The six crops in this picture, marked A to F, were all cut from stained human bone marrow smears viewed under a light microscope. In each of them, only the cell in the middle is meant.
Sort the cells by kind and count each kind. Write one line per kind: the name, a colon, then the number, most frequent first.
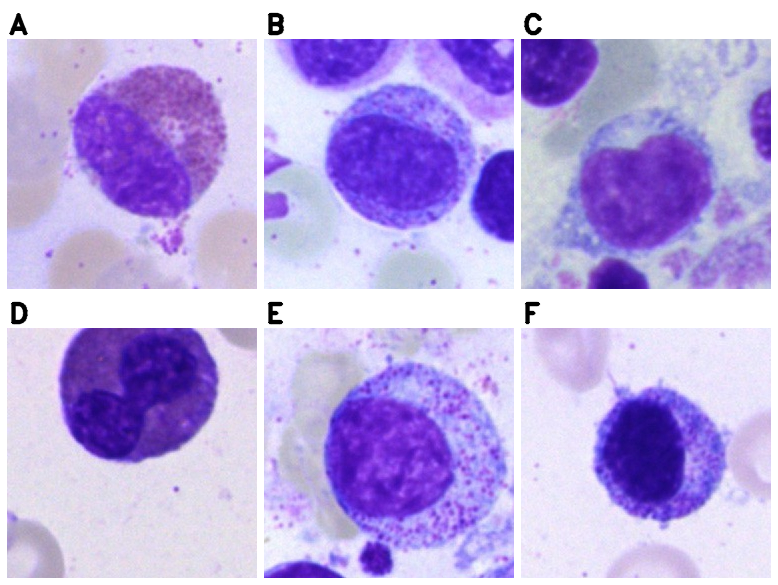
myelocyte: 3
eosinophil: 2
hairy cell: 1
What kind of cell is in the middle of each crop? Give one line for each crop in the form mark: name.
A: eosinophil
B: myelocyte
C: hairy cell
D: eosinophil
E: myelocyte
F: myelocyte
